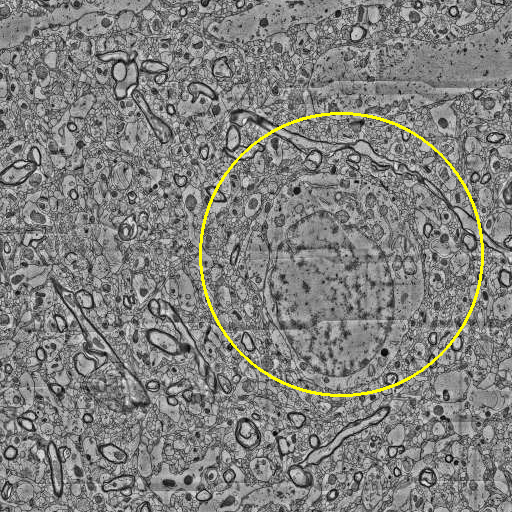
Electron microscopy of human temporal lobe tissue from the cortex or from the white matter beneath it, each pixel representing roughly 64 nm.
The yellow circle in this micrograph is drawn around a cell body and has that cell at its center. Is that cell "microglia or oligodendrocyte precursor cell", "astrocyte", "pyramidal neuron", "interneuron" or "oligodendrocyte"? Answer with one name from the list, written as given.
interneuron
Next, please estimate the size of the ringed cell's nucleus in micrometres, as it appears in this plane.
Roughly 10 by 8 micrometres in this plane, for the nucleus of the ringed cell.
